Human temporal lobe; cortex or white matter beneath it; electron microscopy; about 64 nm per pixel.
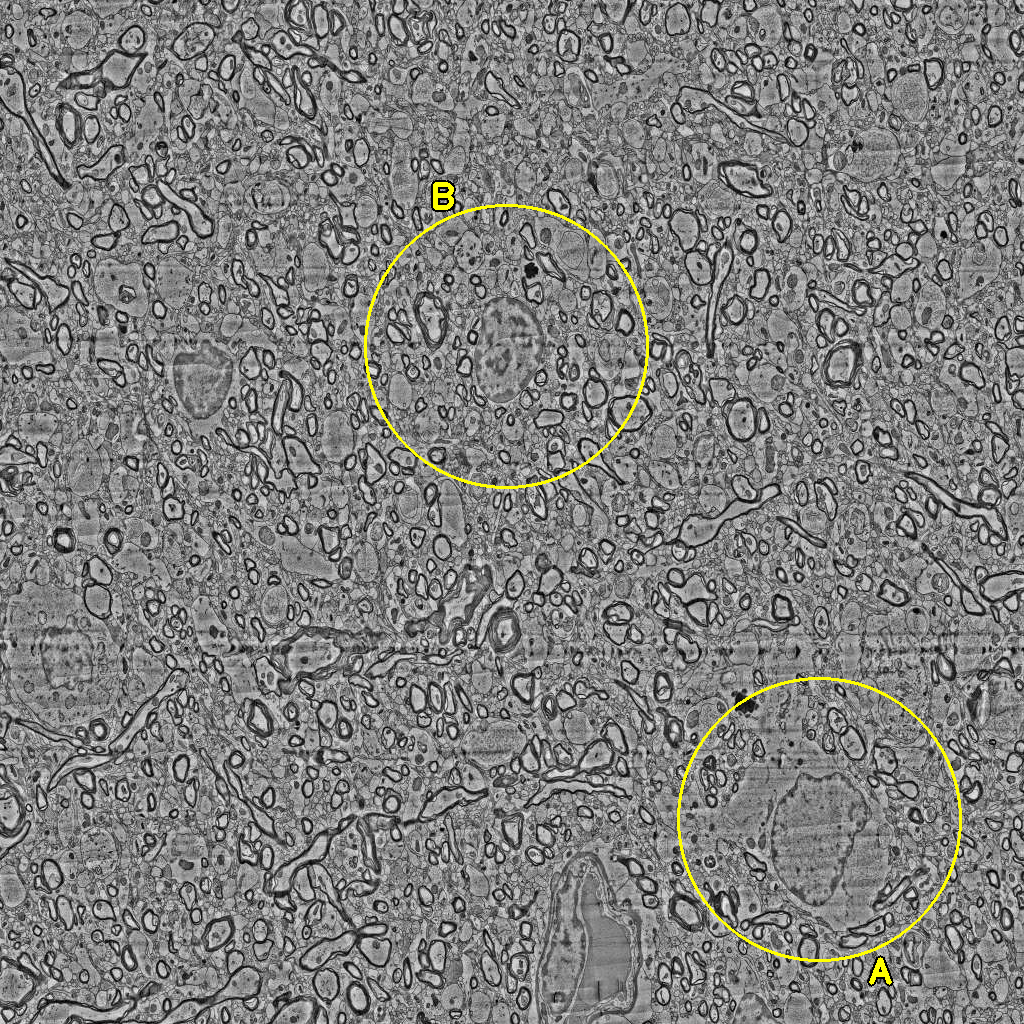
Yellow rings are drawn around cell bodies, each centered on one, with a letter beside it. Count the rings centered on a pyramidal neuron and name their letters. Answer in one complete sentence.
A search of the yellow rings finds none centred on a pyramidal neuron, so the number is zero.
